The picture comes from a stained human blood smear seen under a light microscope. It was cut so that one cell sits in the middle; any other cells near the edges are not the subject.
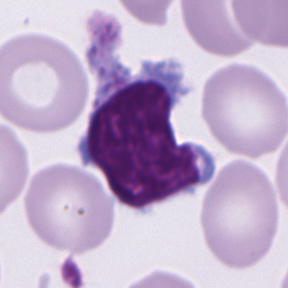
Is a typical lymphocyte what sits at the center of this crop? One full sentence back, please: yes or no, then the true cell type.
Yes, the cell found in the middle is a typical lymphocyte.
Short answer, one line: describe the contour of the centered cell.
The cell outline lacks smoothness, being ragged or extended into projections.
